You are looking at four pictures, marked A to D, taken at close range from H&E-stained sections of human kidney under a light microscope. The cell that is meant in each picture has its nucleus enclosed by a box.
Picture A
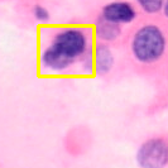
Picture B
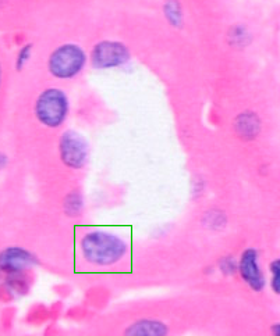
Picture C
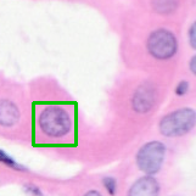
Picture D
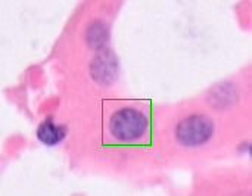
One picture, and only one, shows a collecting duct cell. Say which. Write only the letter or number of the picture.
A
